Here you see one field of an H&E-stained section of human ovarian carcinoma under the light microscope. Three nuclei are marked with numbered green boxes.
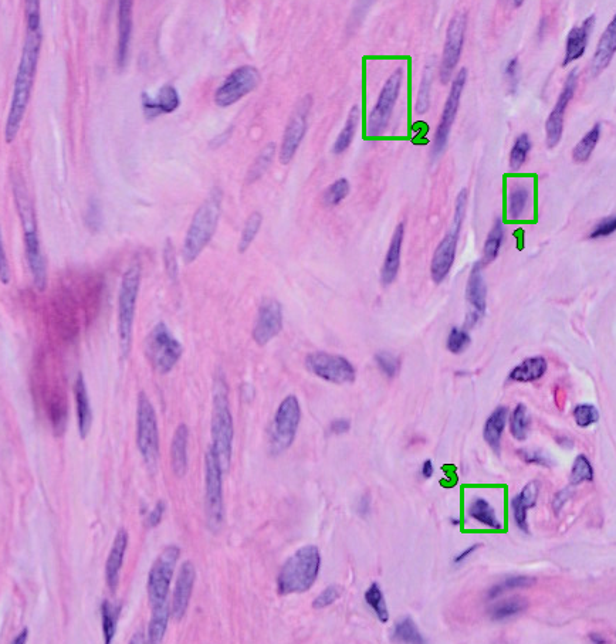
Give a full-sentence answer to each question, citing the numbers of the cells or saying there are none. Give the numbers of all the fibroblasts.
Cell 3 is a fibroblast, and it is the only numbered cell that is.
